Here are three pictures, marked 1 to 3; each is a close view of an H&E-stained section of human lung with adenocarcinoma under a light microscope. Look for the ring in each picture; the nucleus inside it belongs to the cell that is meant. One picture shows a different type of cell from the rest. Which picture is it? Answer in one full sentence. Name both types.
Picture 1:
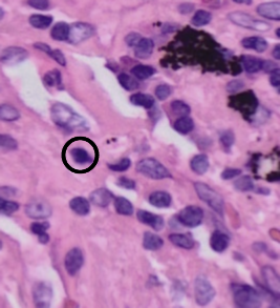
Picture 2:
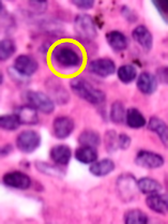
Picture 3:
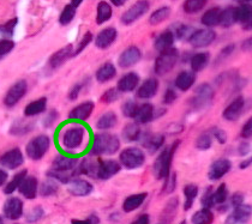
Unlike the rest, which show lymphocytes, picture 2 shows a plasma cell.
